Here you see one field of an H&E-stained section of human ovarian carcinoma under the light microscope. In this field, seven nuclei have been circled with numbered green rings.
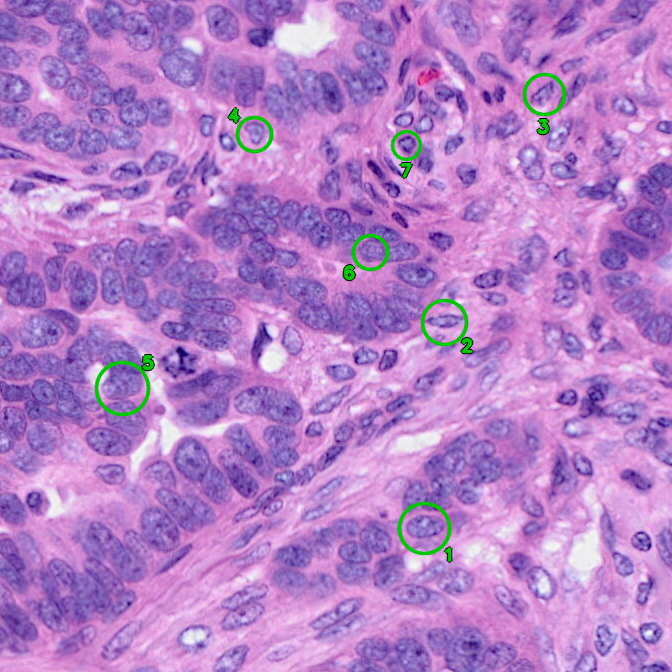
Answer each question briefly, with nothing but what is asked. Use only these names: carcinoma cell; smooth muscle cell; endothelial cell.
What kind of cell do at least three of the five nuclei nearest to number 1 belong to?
carcinoma cell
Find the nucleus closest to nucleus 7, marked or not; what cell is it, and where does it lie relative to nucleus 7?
an endothelial cell, to the right of nucleus 7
